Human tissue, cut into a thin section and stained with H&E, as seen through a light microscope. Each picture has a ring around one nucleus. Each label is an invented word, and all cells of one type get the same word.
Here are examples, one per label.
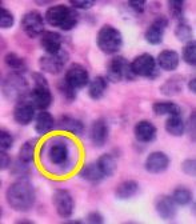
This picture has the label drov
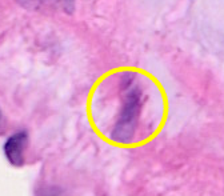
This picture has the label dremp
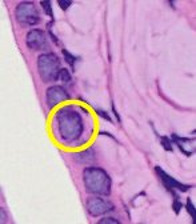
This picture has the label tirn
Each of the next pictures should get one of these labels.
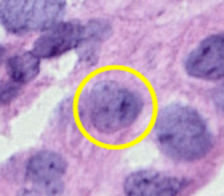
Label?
tirn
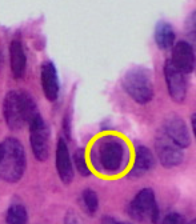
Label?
tirn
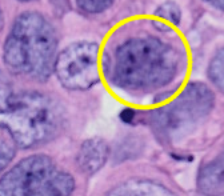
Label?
tirn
